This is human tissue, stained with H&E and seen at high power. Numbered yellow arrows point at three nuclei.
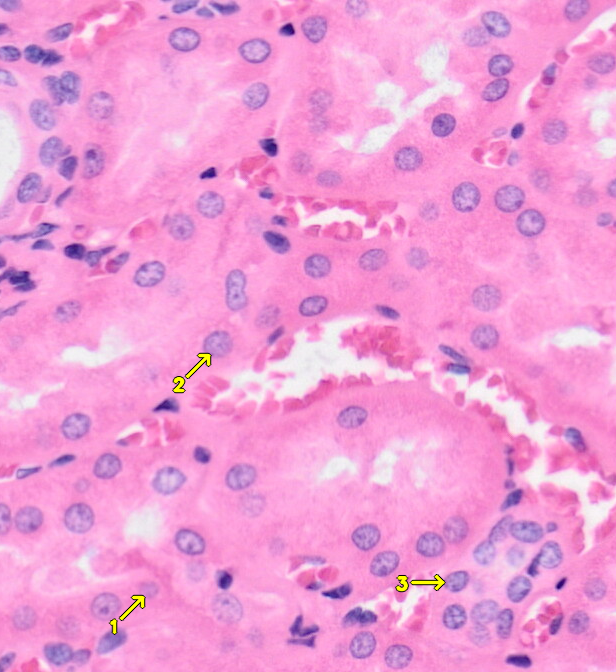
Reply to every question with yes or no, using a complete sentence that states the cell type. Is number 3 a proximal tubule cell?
No, cell number 3 is identified as a collecting duct cell, not as a proximal tubule cell.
